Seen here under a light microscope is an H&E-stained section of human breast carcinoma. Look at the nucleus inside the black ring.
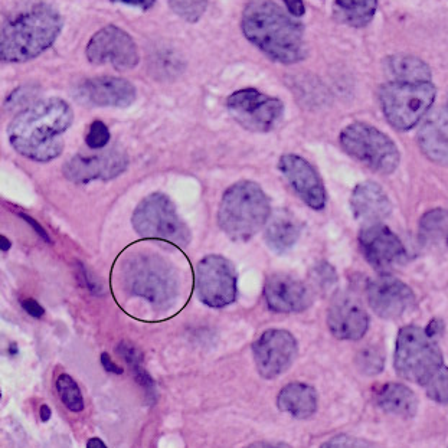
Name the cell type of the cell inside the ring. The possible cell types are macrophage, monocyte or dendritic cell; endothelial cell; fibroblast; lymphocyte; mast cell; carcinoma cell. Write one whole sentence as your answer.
Students should answer that the cell inside the ring is a carcinoma cell.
